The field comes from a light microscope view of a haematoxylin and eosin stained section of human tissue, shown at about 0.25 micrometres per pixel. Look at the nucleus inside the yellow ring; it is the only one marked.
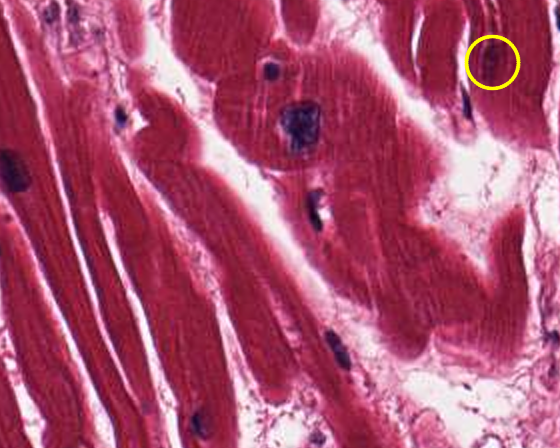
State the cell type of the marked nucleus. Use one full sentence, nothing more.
Part of a cardiomyocyte is the marked nucleus.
